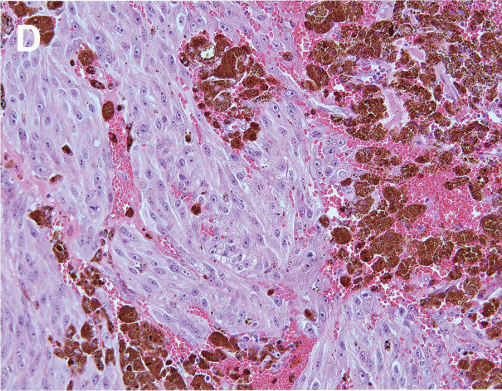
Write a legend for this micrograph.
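This tumour is made of pigmented spindle and epithelioid cells. Elongated spindle cells with oval nuclei and pale pink-lilac cytoplasm run in interlacing streams and fascicles. Among them lie plumper, rounder cells with more abundant cytoplasm. Large clumps of coarse dark brown pigment granules fill groups of cells, especially on one side of the field and in patches along the edges of the fascicles, often obscuring the nuclei. Red blood cells are scattered in the spaces between the cell bundles, marking areas of haemorrhage or vessels. No glands or lumens are formed.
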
